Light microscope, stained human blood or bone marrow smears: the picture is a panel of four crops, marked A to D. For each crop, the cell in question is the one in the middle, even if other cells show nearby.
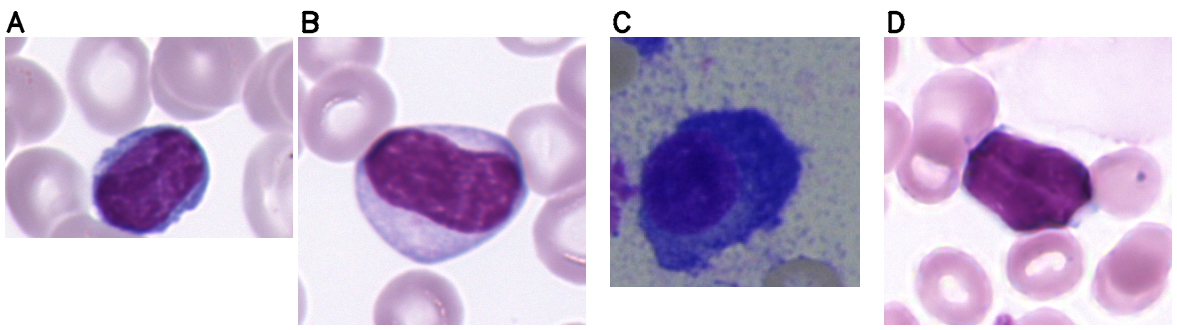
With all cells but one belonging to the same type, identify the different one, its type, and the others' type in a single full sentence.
Crop C shows a plasma cell; by contrast, all the other crops show lymphocytes.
